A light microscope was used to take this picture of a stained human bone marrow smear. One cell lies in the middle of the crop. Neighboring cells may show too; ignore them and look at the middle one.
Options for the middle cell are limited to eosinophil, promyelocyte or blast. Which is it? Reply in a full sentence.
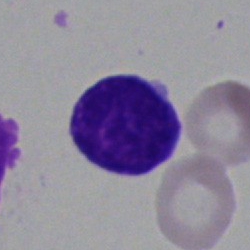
Centrally within this crop lies a blast.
